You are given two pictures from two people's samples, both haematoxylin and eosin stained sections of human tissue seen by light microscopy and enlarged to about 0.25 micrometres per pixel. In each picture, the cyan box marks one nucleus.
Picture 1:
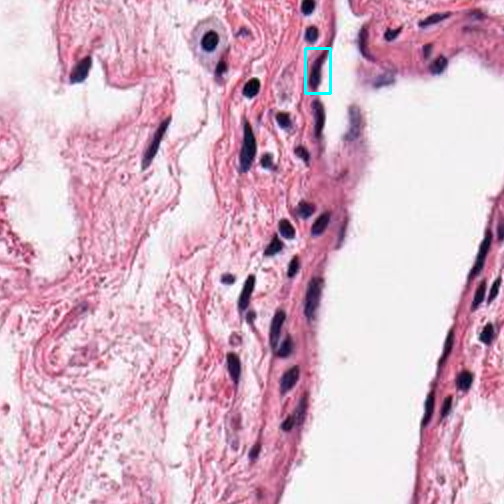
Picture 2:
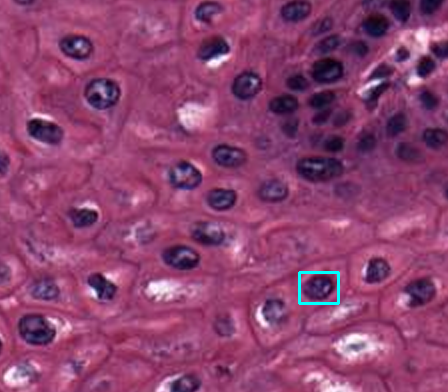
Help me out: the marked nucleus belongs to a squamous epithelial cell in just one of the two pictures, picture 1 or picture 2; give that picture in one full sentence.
The nucleus of a squamous epithelial cell is what is marked in picture 2.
